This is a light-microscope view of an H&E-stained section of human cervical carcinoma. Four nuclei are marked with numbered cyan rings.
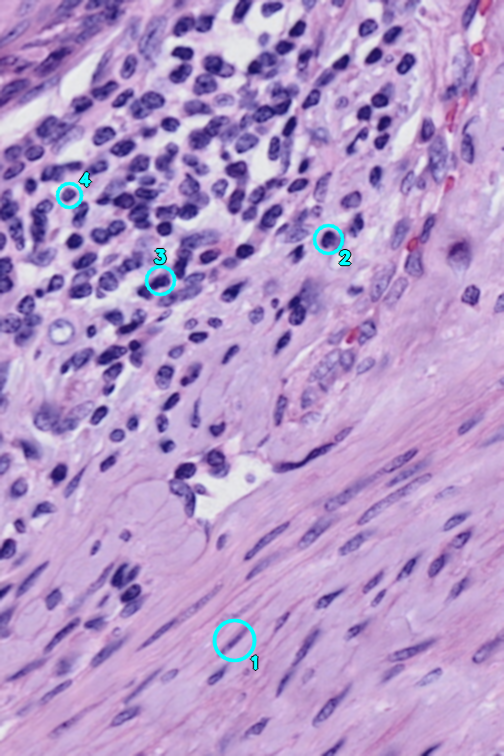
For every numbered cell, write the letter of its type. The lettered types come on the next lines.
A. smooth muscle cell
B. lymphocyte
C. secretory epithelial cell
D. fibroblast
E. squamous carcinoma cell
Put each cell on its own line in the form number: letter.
1: A
2: B
3: B
4: B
